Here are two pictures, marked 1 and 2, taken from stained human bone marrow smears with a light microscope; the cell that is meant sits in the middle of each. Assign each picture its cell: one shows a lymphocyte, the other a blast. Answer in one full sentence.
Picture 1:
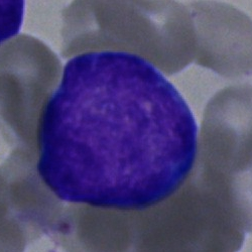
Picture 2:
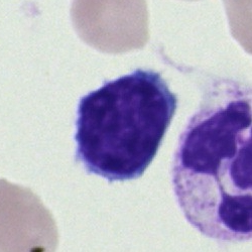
The cell in picture 1 is a blast, and the one in picture 2 is a lymphocyte.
